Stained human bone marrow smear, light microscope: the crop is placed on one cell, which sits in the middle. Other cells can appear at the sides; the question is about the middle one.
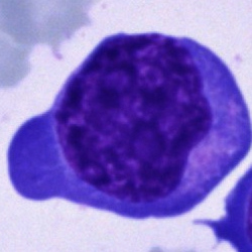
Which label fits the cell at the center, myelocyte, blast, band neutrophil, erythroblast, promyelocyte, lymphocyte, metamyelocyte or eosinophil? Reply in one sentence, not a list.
The identification for the central cell is a blast.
